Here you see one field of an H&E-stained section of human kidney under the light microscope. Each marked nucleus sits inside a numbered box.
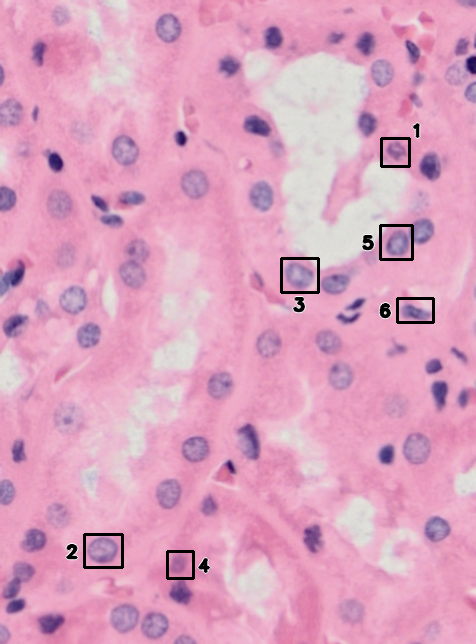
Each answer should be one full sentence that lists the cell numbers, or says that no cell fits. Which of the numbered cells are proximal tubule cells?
The cells with the numbers 2 and 4 are proximal tubule cells.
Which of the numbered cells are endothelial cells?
Of the cells marked with numbers, cell 6 is the only one that is an endothelial cell.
